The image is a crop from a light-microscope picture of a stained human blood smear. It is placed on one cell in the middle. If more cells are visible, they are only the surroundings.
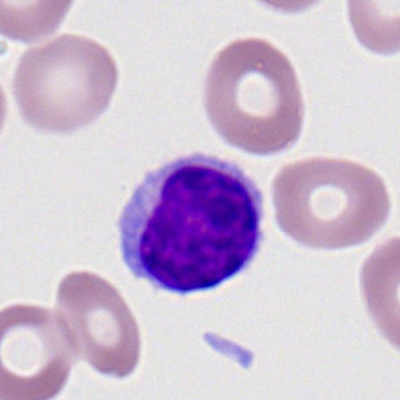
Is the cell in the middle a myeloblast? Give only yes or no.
no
